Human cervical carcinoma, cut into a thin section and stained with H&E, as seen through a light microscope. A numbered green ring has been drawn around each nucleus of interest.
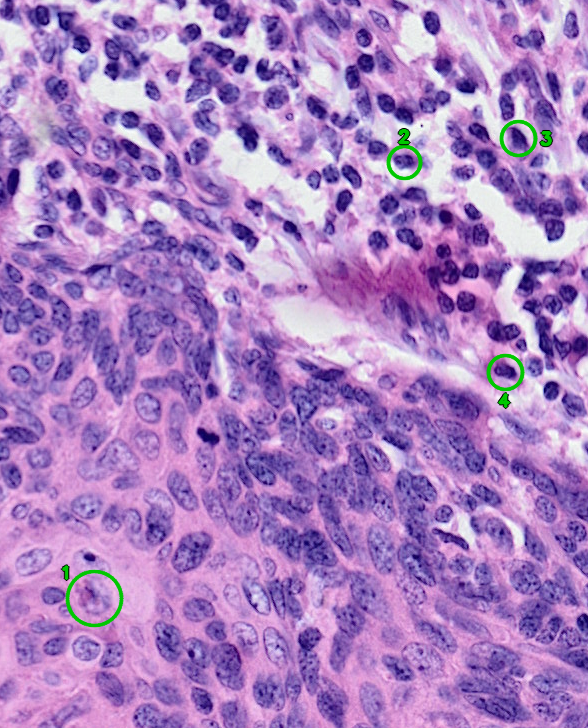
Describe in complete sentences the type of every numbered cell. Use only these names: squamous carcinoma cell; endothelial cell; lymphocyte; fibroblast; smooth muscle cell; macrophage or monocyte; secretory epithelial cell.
Cell 1 is a squamous carcinoma cell. Cells 2, 3 and 4 are lymphocytes.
